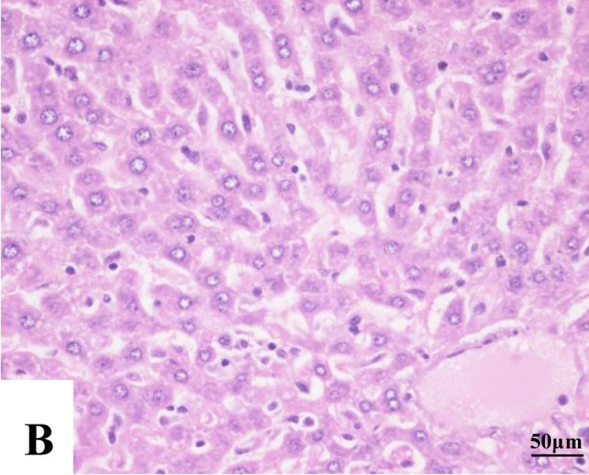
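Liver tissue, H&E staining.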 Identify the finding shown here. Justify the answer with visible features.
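Cell cytoplasm is pink and finely granular and somewhat cloudy. No large clear vacuoles are present. On this evidence: granular degeneration.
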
